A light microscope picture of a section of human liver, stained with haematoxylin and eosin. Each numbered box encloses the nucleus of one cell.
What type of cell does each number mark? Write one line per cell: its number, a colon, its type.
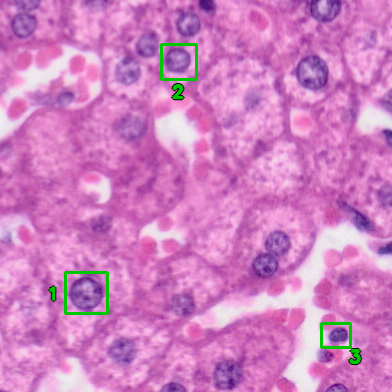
1: hepatocyte
2: hepatocyte
3: lymphocyte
